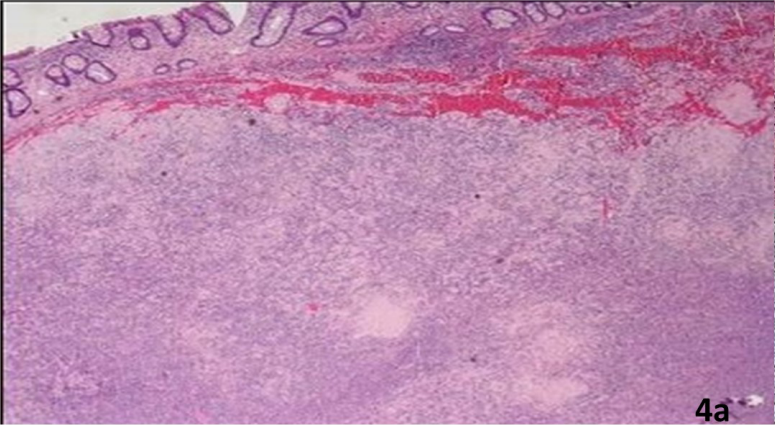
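This low-power view shows a bowel wall with mucosal glandular crypts along the top. Beneath them, a dense, diffuse sheet of small round cells fills the wall, and scattered pale pink, homogeneous, acellular deposits lie within it. A band of congested, blood-filled vessels and haemorrhage lies between the mucosa and the infiltrate.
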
